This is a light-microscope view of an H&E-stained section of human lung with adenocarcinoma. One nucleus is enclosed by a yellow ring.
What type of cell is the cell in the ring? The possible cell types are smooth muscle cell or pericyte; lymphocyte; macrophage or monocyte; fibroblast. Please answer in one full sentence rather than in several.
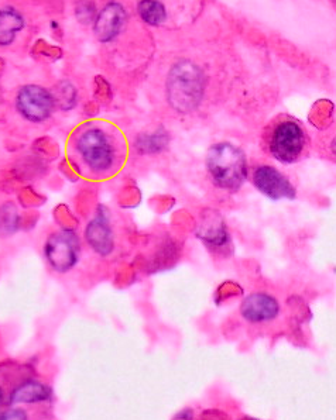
What the cell in the ring represents is a macrophage or monocyte.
